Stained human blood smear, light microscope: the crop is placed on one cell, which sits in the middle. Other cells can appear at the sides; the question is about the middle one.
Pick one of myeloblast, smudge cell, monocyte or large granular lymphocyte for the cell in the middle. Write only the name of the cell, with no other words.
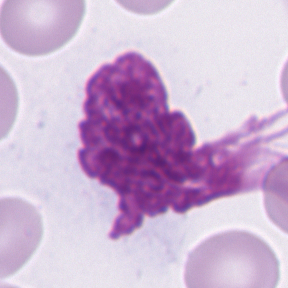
smudge cell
